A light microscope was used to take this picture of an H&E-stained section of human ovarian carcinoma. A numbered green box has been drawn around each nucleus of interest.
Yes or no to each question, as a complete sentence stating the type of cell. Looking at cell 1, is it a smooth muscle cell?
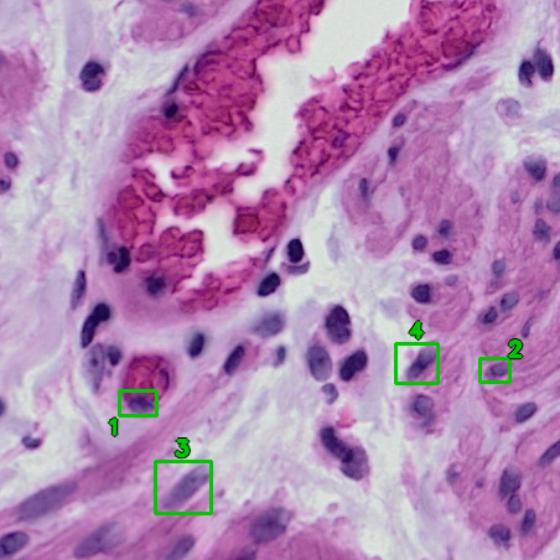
No, it's not a smooth muscle cell at number 1; that cell is an endothelial cell.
